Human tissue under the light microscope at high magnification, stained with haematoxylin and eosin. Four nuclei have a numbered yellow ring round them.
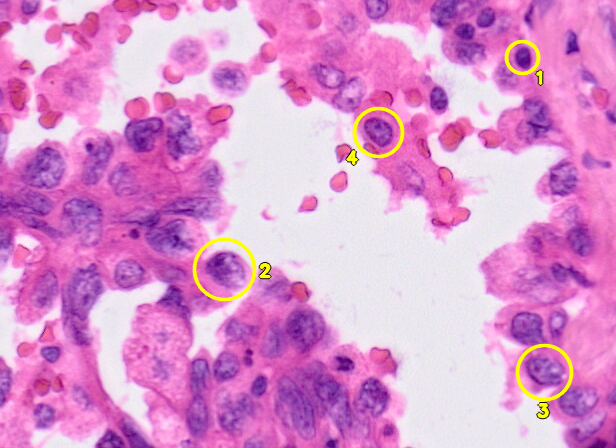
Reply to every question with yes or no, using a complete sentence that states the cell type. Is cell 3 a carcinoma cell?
Yes, the one with the number 3 is a carcinoma cell.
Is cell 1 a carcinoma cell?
No, cell 1 is not a carcinoma cell; a lymphocyte is the correct identification.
